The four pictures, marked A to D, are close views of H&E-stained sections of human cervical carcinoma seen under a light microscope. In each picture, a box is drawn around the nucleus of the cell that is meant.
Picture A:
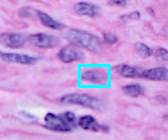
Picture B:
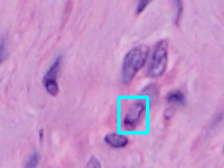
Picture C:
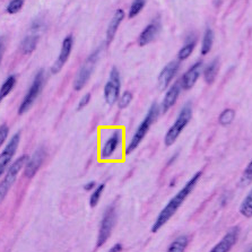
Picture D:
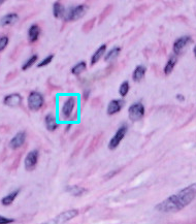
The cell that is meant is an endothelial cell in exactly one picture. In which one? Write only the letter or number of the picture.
B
